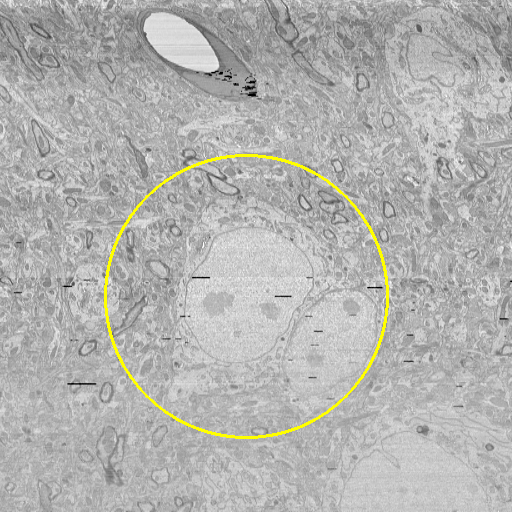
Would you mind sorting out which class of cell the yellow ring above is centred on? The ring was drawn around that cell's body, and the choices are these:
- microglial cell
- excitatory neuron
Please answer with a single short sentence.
This is the cell body of an excitatory neuron.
